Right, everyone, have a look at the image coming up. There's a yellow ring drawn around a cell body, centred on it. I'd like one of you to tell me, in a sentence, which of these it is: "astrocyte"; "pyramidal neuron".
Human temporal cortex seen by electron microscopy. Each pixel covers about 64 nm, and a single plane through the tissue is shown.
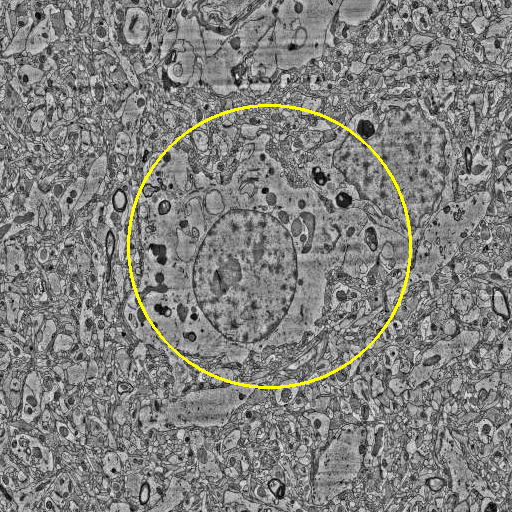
The yellow ring sits on an astrocyte.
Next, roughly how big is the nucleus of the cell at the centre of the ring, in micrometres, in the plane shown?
The nucleus appears roughly 9 by 7 micrometres in this plane.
